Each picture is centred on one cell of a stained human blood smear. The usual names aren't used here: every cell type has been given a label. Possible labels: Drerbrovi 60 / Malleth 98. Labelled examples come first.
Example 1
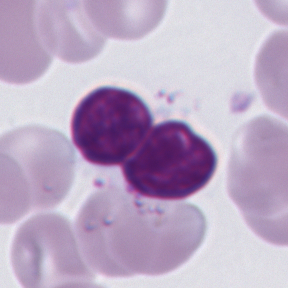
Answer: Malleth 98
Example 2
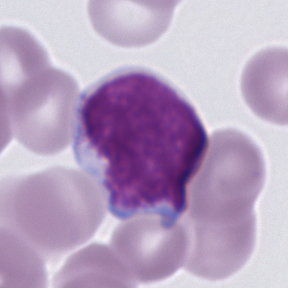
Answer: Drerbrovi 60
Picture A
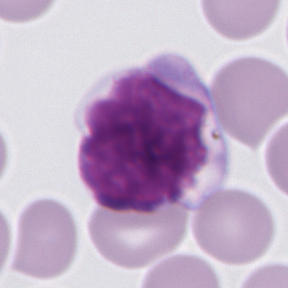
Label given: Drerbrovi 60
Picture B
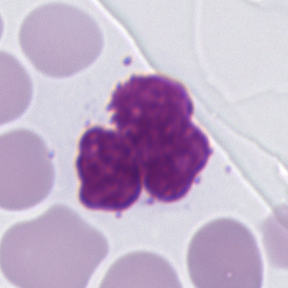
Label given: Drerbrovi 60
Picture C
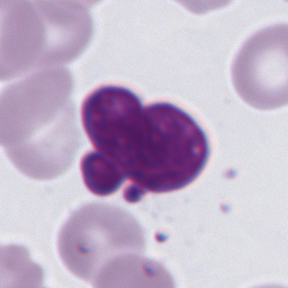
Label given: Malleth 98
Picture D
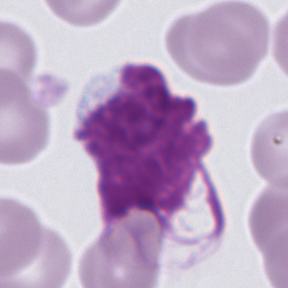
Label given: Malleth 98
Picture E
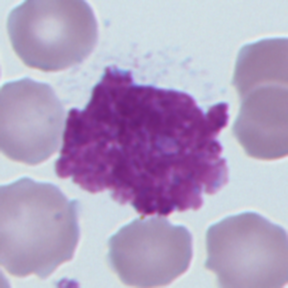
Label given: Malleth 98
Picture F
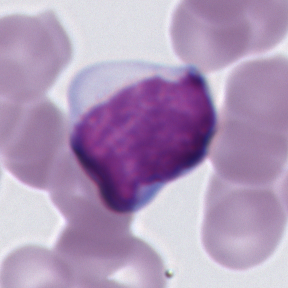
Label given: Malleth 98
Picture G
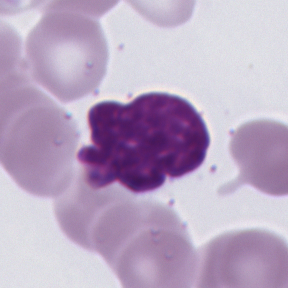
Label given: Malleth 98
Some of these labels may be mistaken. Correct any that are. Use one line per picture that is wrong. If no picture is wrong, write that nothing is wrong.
B should be Malleth 98, not Drerbrovi 60
F should be Drerbrovi 60, not Malleth 98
